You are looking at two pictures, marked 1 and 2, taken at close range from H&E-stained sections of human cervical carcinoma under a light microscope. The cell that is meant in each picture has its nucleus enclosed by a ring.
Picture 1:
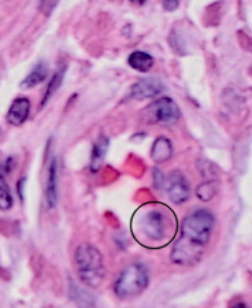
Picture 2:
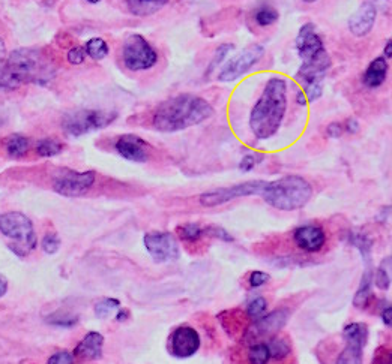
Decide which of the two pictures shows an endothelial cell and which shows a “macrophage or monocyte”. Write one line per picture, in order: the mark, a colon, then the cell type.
1: endothelial cell
2: macrophage or monocyte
